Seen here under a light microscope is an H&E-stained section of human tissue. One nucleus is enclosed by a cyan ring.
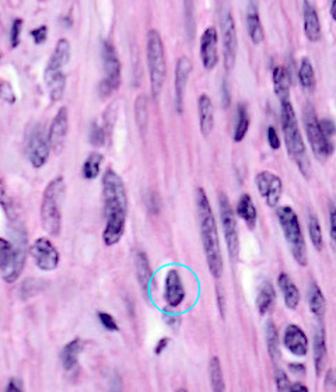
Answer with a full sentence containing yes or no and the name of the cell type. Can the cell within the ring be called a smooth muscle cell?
No, the cell within the ring is recognized as a lymphocyte rather than a smooth muscle cell.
